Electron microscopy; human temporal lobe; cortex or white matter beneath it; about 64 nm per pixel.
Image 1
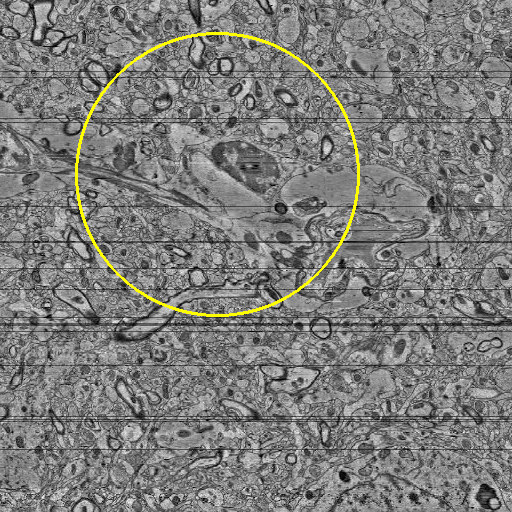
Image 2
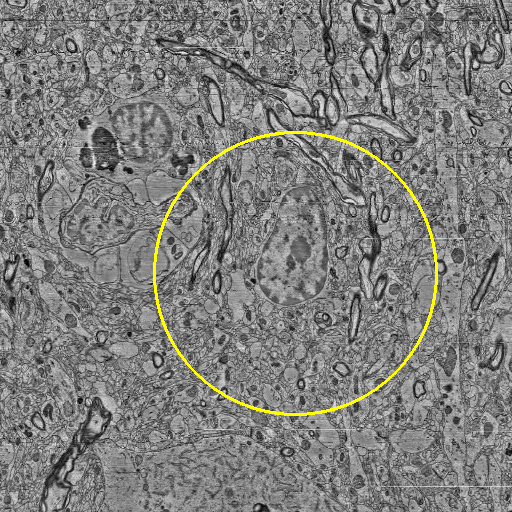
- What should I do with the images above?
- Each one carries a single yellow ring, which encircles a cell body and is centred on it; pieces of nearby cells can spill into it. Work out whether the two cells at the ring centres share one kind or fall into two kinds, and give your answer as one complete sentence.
The ring-centre cells of Image 1 and Image 2 share one kind.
